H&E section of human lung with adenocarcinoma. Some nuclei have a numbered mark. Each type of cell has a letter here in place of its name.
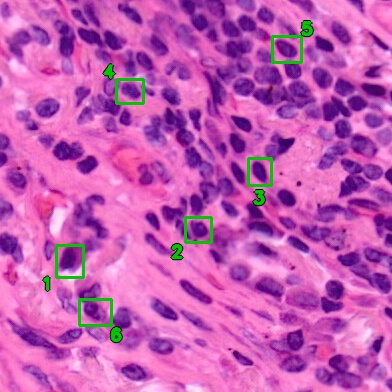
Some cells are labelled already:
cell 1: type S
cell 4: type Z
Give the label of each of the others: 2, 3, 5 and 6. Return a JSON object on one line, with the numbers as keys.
{"2": "type Z", "3": "type Z", "5": "type Z", "6": "type S"}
